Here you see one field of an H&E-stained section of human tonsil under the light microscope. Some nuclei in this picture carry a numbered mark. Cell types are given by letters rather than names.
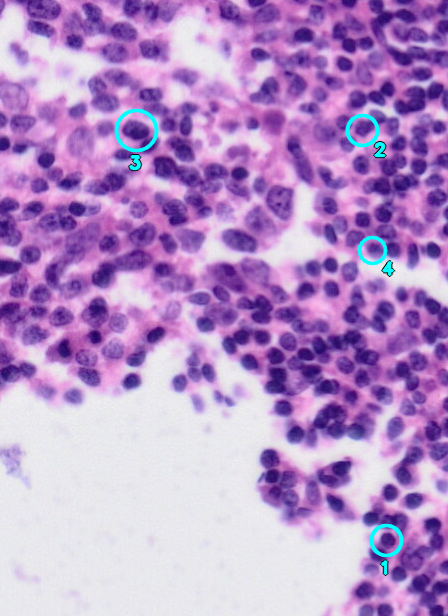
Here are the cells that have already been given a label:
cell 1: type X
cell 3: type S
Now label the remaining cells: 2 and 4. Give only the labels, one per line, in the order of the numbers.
type X
type X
